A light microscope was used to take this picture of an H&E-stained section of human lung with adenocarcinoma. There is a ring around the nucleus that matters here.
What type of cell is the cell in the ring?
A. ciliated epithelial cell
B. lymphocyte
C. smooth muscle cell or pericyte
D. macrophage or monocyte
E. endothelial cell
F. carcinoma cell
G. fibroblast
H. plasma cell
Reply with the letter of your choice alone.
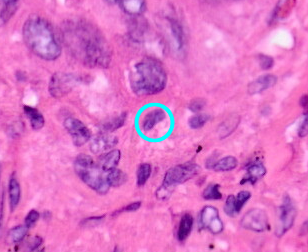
B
